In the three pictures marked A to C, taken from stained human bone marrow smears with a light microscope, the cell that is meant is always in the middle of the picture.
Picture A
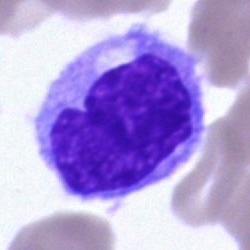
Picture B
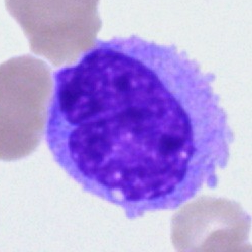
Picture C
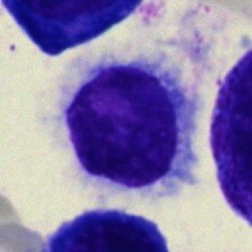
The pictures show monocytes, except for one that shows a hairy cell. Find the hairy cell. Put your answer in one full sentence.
The picture with the hairy cell is C.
